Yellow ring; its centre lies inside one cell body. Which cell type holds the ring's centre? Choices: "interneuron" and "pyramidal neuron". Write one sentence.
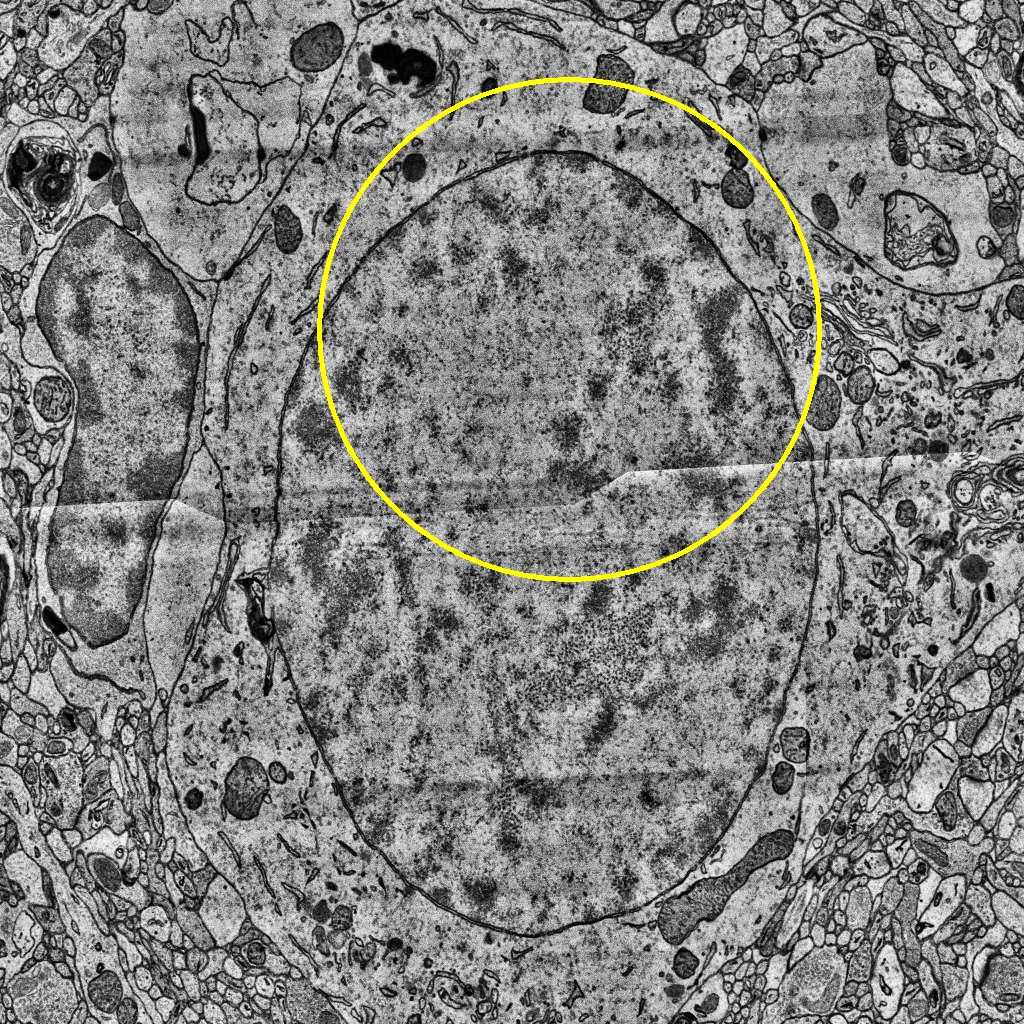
At the centre of the ring sits a pyramidal neuron.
